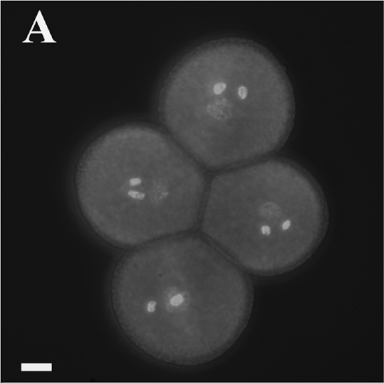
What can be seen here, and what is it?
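Four mature pollen grains lie together as a tetrad, each round with a finely textured outer wall. In each grain two small, bright, elongated nuclei lie close together, and a larger, paler, diffuse nucleus lies nearby.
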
